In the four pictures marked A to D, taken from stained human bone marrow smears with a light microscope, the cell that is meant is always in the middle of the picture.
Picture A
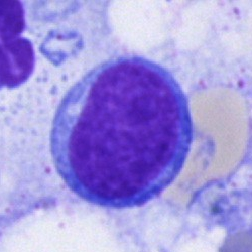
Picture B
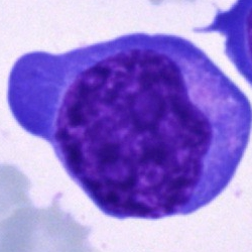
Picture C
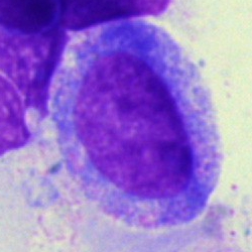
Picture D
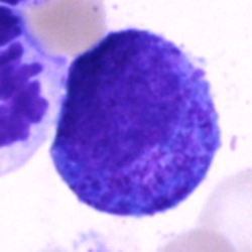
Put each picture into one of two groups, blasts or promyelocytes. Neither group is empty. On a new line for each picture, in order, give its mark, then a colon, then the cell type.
A: blast
B: blast
C: promyelocyte
D: promyelocyte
